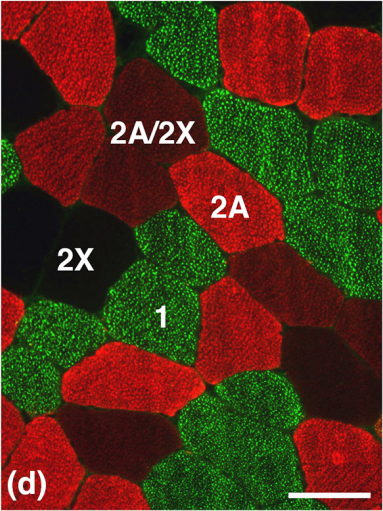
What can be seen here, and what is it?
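The fibers are big polygonal profiles fitted tightly against one another with only thin lines between them. Some fibers are filled with a fine green dotted texture, others with bright red, some with a duller red, and a few remain dark and unstained. The differently coloured fibers lie intermingled in a mosaic pattern.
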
